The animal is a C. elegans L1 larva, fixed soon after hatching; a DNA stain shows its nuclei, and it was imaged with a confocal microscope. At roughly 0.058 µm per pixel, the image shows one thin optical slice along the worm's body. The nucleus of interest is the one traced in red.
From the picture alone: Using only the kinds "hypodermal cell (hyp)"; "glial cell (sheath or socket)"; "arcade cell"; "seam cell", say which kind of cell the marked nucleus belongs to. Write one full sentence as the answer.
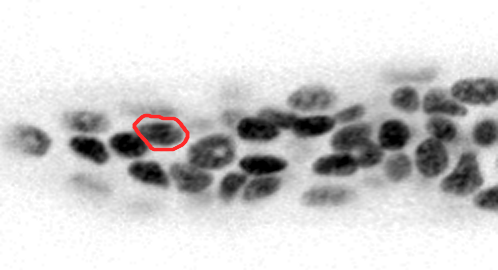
It is the nucleus of a glial cell (sheath or socket).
